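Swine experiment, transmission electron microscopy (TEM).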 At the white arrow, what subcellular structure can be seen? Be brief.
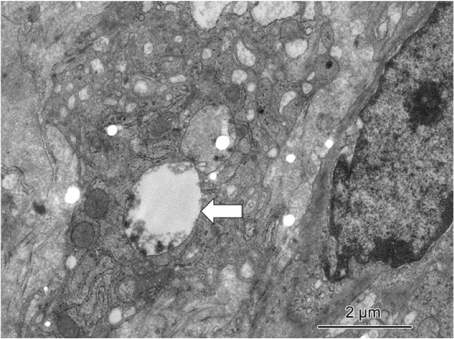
Vacuole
